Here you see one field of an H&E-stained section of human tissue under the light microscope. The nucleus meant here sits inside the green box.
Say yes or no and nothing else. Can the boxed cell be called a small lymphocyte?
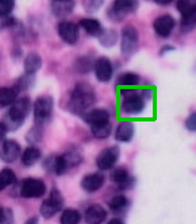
yes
